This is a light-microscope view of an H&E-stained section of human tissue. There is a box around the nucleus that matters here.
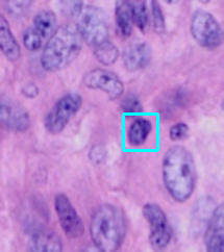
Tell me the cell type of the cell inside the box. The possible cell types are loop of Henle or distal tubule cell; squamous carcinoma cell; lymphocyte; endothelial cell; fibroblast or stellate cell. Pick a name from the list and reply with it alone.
lymphocyte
